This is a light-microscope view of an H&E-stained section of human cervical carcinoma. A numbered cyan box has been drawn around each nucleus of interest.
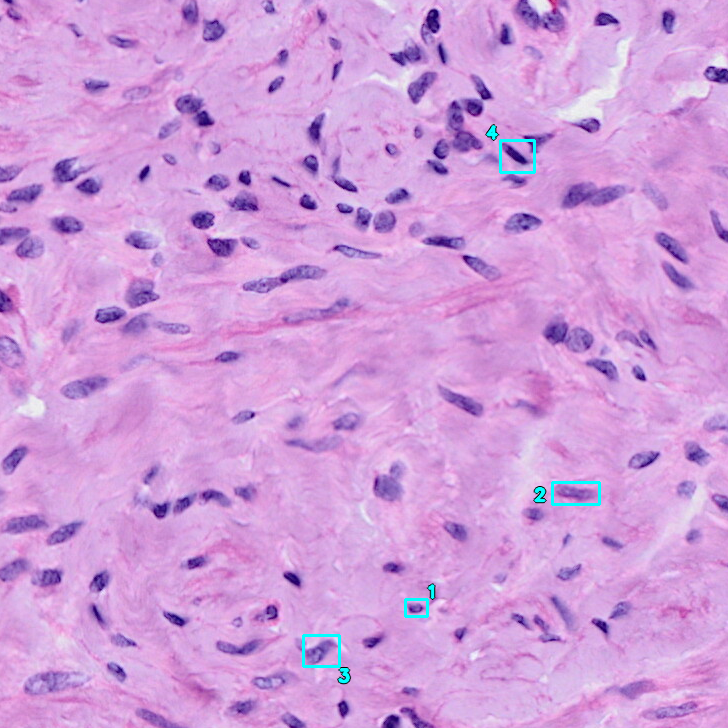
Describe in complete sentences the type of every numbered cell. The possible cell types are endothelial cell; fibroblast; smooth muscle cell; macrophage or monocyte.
Cell 1 is a fibroblast, cell 2 is a smooth muscle cell, cell 3 is a fibroblast and cell 4 is a fibroblast.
